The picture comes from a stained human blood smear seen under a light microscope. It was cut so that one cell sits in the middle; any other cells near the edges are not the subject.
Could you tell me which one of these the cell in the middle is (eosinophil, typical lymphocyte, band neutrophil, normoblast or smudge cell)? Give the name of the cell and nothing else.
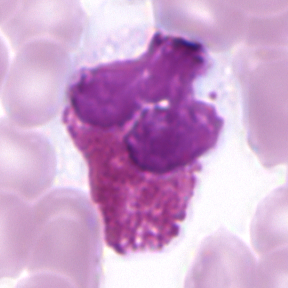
eosinophil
